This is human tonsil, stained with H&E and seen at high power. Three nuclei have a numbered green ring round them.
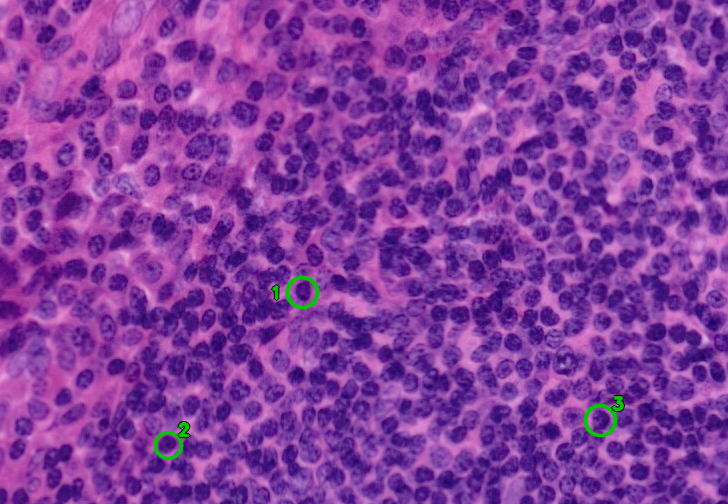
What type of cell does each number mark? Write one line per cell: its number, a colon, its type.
1: plasma cell
2: small lymphocyte
3: small lymphocyte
